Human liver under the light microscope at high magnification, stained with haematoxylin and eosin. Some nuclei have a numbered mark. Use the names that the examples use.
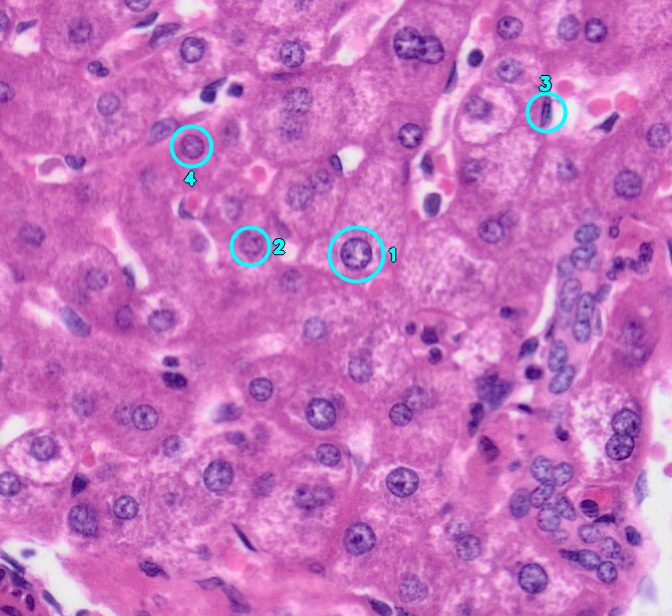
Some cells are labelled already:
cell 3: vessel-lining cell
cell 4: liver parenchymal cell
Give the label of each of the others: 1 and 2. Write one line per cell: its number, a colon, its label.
1: liver parenchymal cell
2: liver parenchymal cell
